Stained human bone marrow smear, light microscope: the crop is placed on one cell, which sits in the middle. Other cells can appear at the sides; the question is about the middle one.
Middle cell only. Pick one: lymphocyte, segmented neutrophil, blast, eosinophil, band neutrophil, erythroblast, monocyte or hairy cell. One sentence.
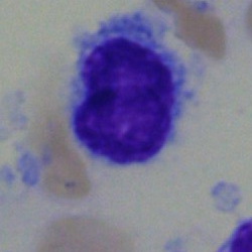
The middle cell in this particular crop is a hairy cell.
